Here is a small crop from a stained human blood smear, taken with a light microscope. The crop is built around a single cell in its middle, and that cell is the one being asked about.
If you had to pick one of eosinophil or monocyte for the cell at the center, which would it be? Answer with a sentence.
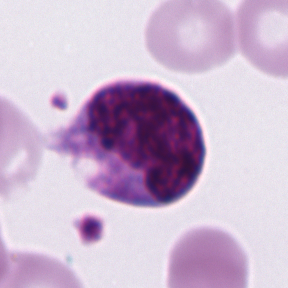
The crop shows a monocyte in its centre.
